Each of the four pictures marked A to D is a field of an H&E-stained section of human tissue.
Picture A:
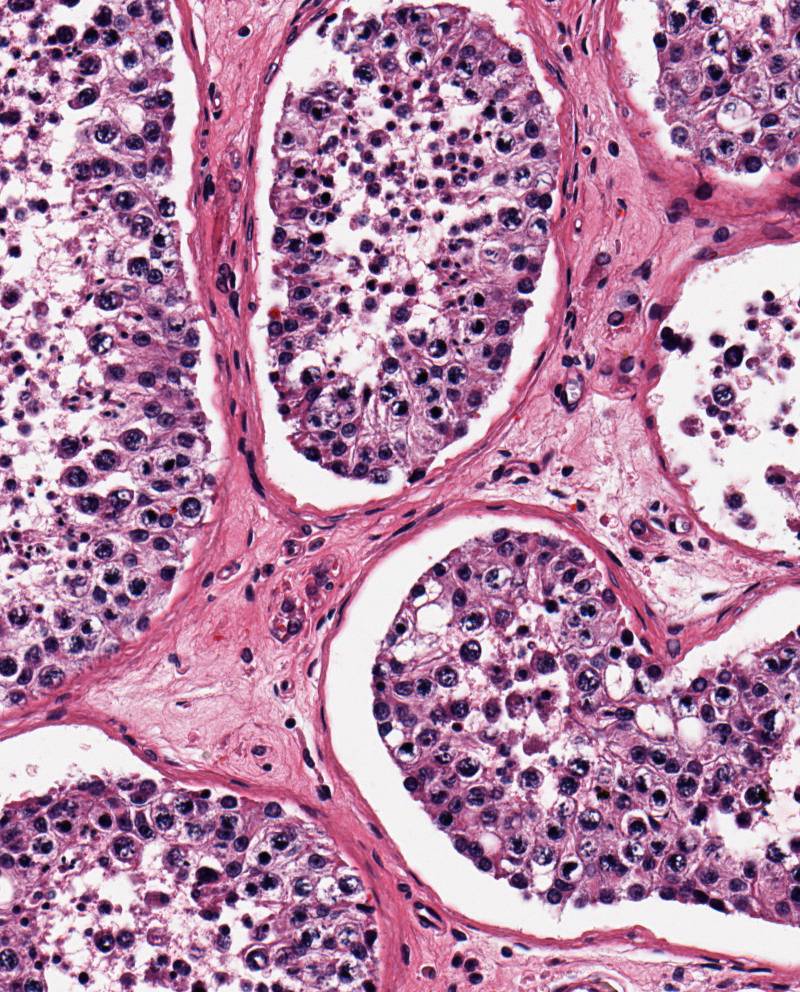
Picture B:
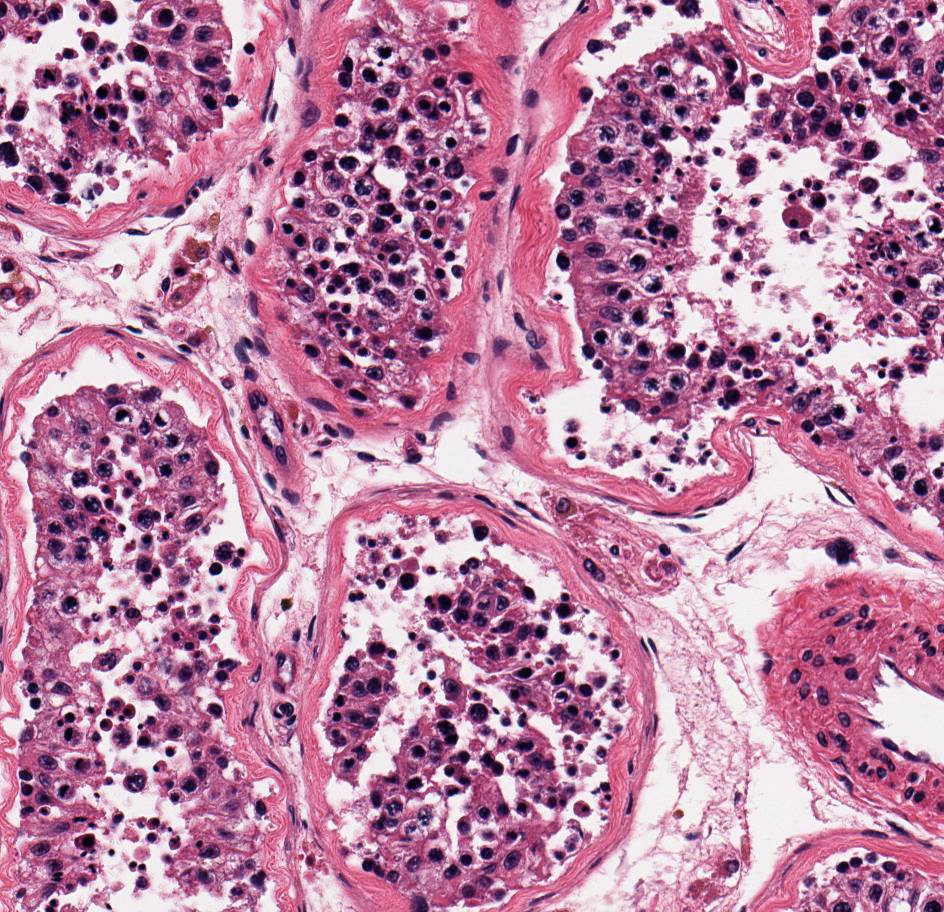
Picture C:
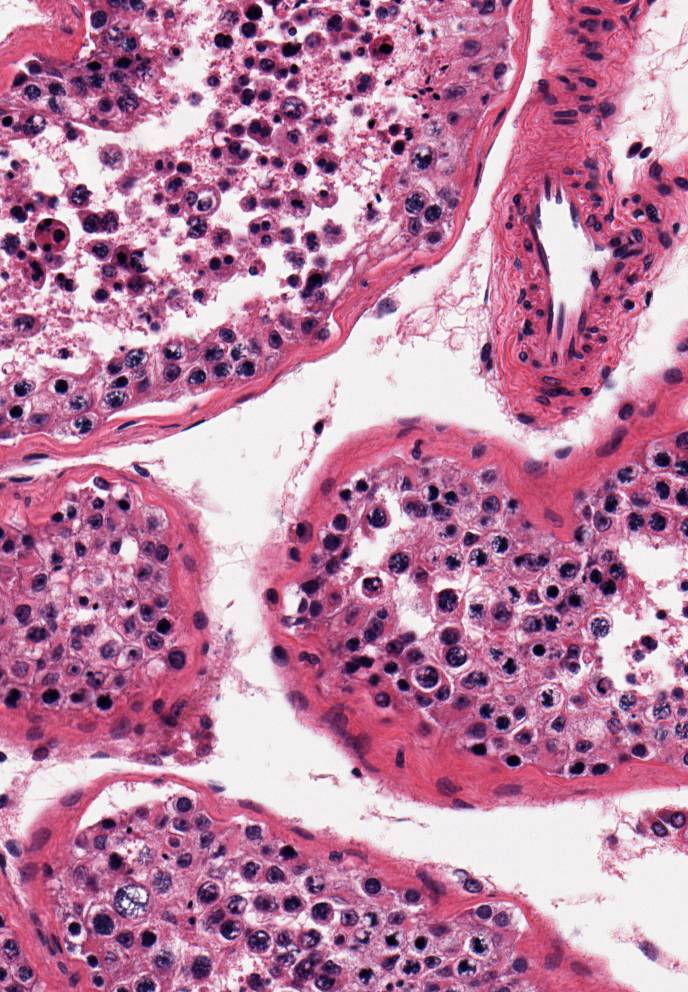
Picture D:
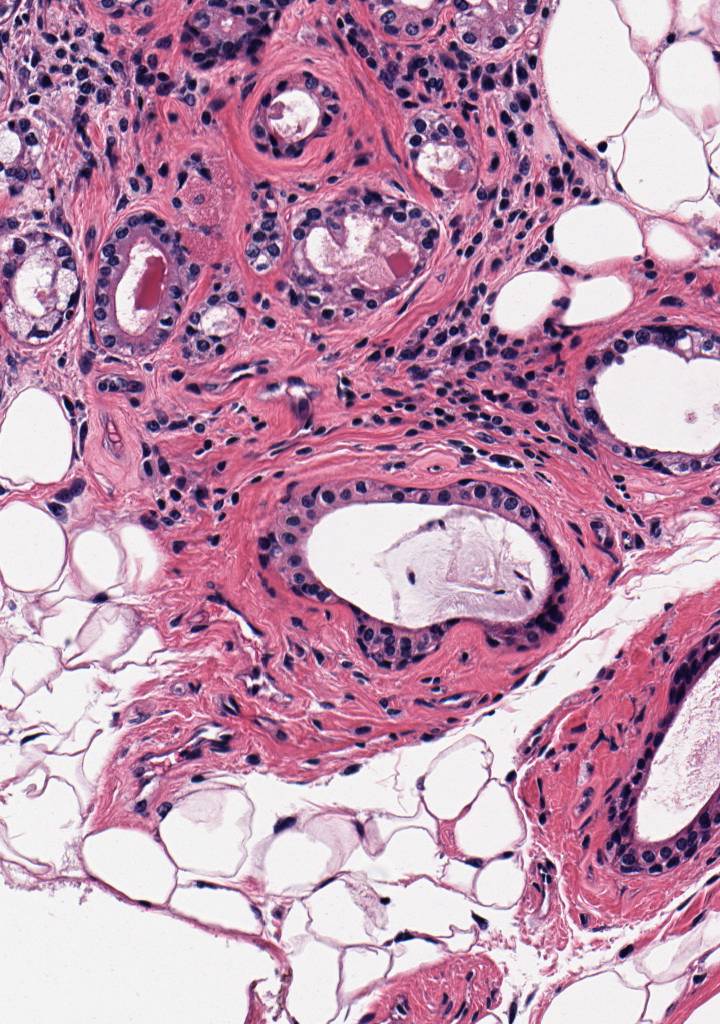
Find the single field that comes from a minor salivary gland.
D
